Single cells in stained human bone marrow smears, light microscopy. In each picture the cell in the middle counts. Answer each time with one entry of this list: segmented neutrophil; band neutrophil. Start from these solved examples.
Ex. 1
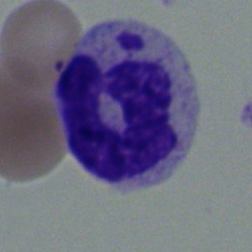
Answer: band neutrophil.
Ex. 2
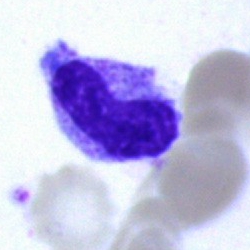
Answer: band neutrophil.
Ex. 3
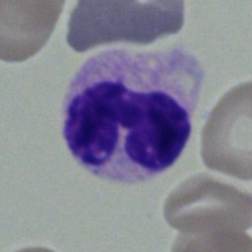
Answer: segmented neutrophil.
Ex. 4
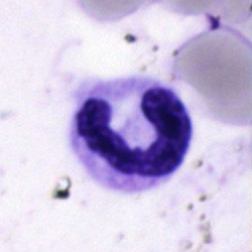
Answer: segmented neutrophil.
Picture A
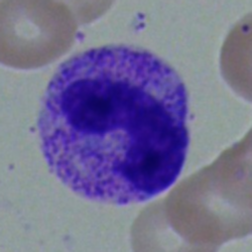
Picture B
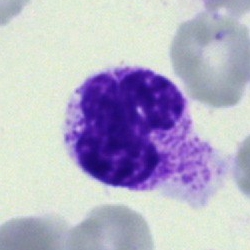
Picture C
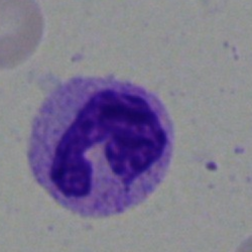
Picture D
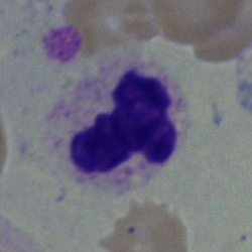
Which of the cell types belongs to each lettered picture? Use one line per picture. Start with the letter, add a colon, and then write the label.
A: band neutrophil.
B: segmented neutrophil.
C: segmented neutrophil.
D: segmented neutrophil.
